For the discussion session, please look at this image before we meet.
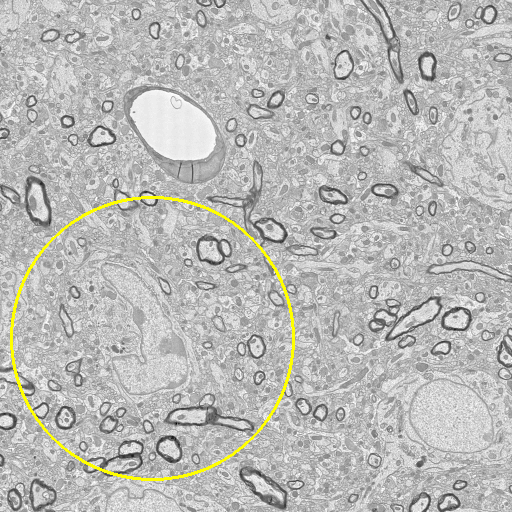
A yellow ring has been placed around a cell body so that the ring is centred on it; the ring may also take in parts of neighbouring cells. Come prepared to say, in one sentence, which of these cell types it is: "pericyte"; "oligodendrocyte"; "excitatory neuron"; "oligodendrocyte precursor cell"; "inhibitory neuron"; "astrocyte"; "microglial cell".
The cell centred in the ring is an oligodendrocyte precursor cell.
